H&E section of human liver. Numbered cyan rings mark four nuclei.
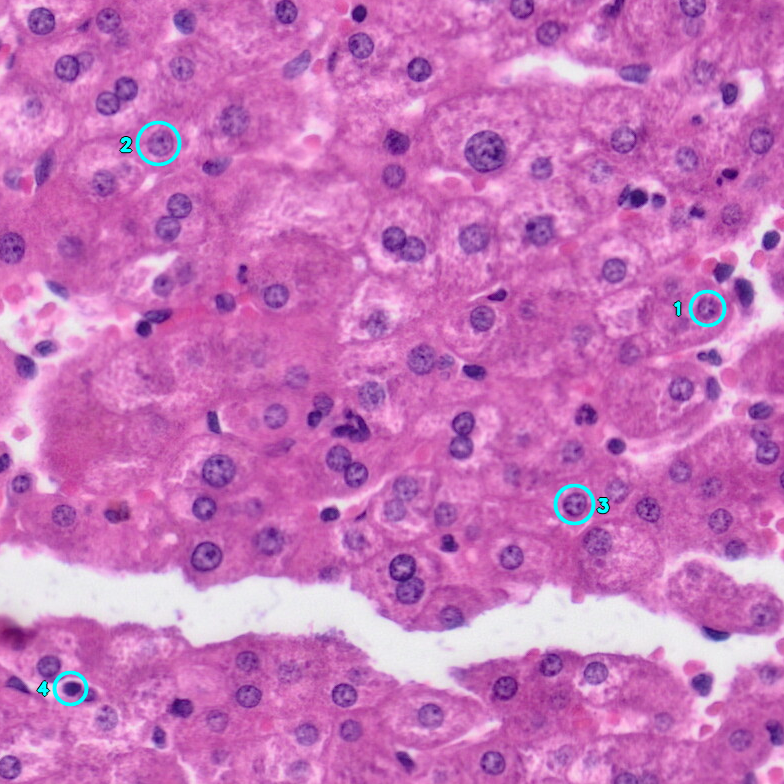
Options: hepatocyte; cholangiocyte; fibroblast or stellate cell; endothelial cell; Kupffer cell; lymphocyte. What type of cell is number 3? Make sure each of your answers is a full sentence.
Recognised here as a hepatocyte is the cell numbered 3.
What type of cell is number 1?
As for number 1, that cell is a hepatocyte.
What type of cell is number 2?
Here the cell numbered 2 is a hepatocyte.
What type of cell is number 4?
The nucleus labeled 4 belongs to a lymphocyte.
